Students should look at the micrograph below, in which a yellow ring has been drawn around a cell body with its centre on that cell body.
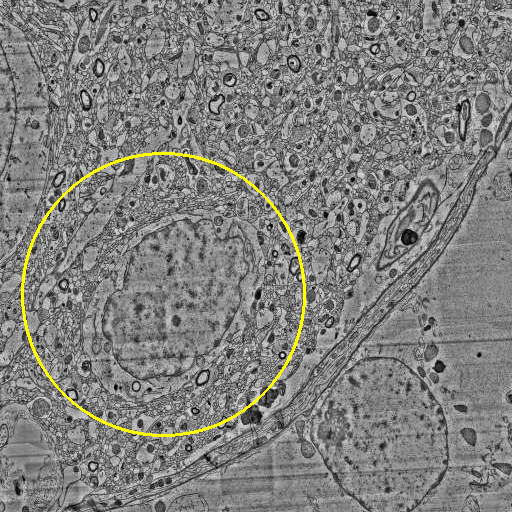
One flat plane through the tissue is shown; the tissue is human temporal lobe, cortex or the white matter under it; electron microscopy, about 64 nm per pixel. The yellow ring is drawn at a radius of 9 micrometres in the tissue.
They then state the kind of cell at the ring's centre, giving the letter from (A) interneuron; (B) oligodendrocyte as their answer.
A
